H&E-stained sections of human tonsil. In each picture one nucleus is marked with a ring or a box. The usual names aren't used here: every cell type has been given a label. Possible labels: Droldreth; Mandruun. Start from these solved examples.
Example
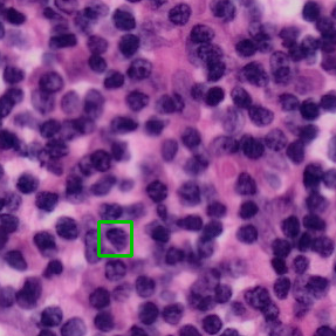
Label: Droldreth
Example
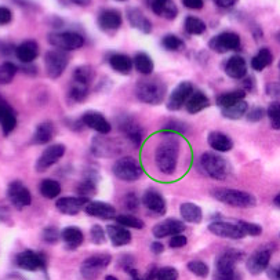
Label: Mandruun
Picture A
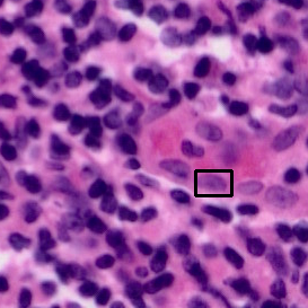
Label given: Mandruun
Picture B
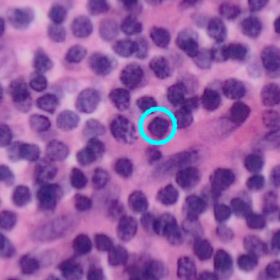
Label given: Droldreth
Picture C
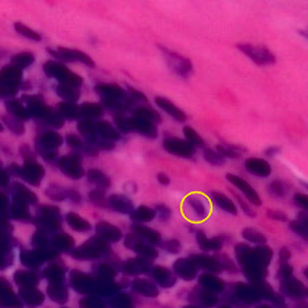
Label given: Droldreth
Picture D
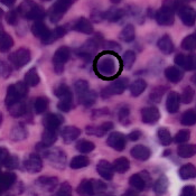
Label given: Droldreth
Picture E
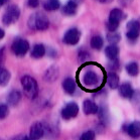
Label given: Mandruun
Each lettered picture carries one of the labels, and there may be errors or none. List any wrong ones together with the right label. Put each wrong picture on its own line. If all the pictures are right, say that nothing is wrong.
Wrong: C (Droldreth); correct: Mandruun
Wrong: E (Mandruun); correct: Droldreth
